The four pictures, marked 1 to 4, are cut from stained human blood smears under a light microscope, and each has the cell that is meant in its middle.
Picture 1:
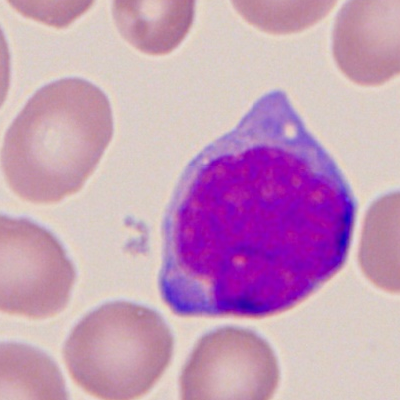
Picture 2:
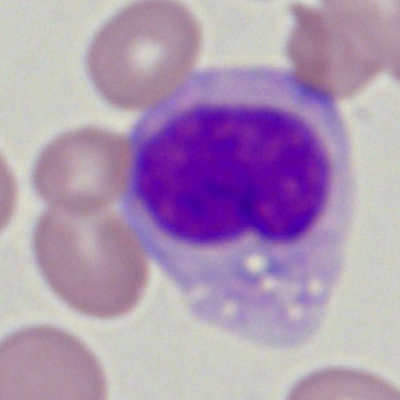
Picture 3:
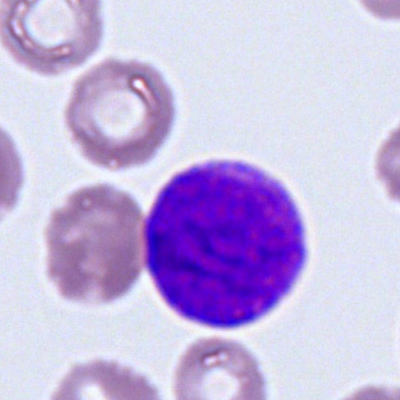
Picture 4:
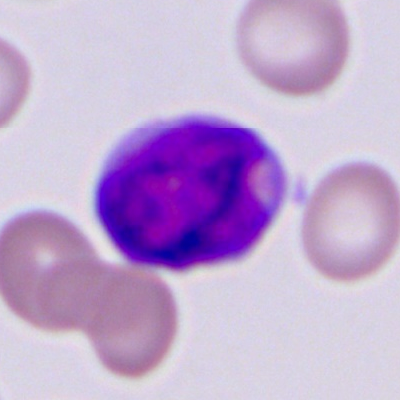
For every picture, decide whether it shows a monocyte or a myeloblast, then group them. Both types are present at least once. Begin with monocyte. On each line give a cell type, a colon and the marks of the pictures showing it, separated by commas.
monocyte: 2
myeloblast: 1, 3, 4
